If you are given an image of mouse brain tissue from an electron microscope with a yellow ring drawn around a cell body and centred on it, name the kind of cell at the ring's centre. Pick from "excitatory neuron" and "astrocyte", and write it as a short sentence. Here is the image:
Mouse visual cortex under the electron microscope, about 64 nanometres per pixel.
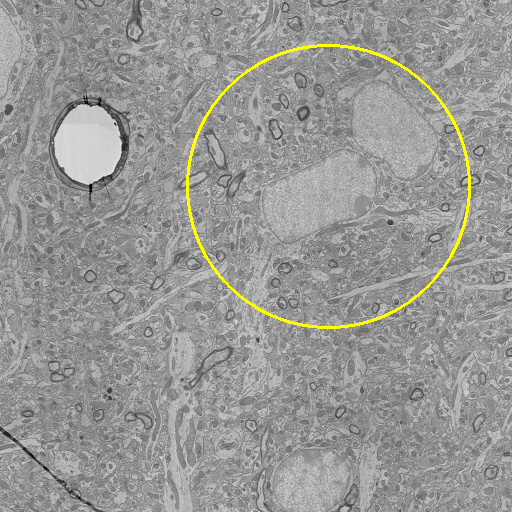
The cell at the ring's centre is an astrocyte.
